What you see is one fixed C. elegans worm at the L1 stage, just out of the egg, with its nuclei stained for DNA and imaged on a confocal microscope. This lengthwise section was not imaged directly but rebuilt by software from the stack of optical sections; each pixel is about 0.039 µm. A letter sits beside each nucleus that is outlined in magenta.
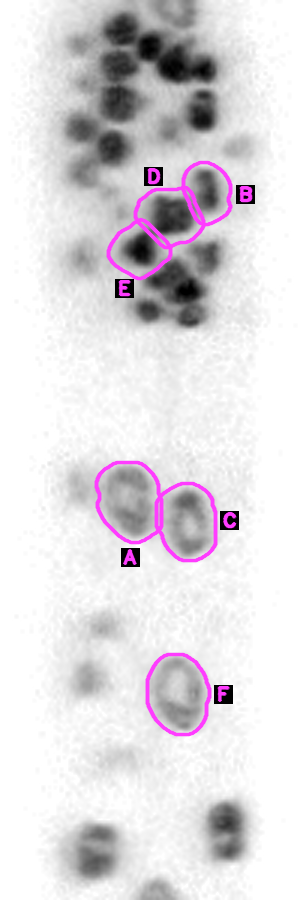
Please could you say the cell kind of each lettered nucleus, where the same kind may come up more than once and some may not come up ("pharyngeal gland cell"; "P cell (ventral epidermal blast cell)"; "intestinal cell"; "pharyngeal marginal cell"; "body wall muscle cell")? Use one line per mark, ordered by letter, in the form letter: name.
A: intestinal cell
B: body wall muscle cell
C: intestinal cell
D: pharyngeal marginal cell
E: pharyngeal gland cell
F: intestinal cell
